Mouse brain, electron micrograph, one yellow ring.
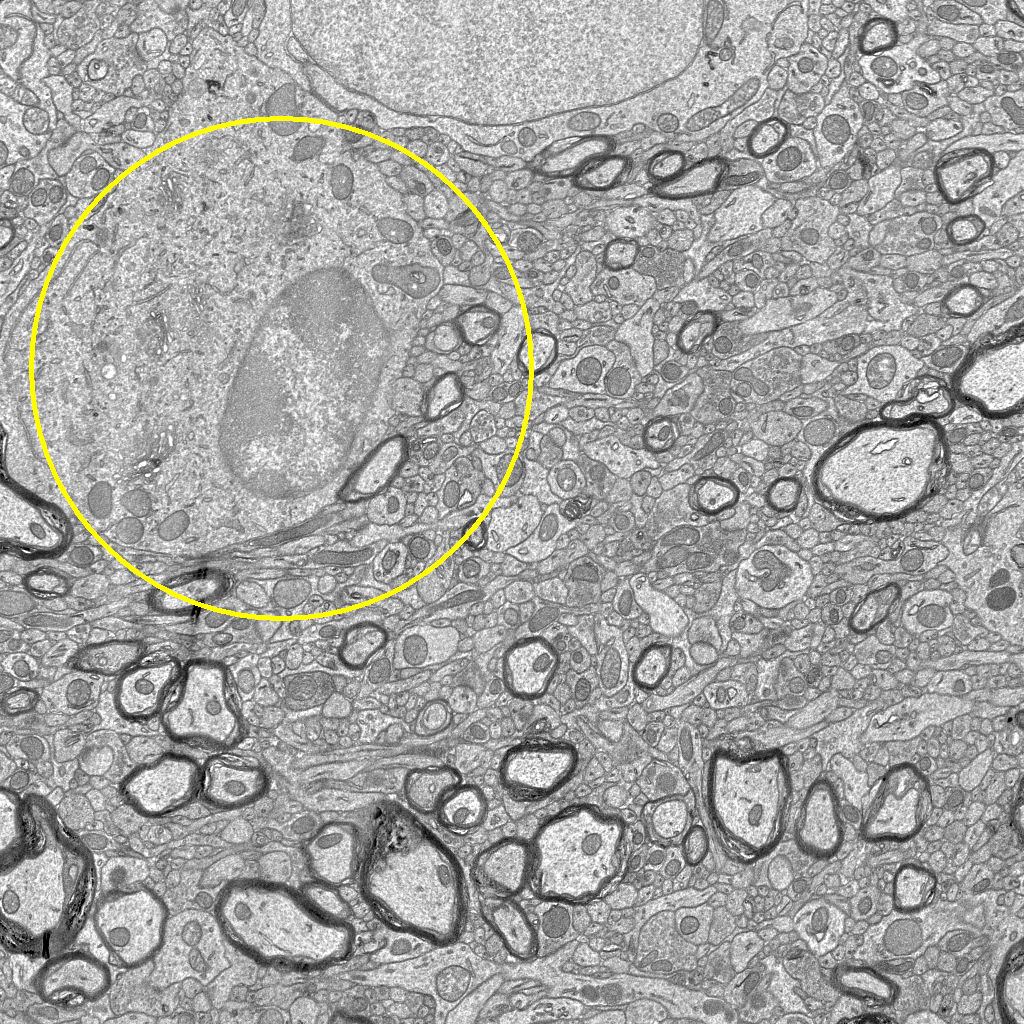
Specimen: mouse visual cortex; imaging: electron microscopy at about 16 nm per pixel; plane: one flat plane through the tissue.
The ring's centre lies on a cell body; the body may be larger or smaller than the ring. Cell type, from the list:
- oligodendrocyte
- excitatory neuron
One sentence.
The yellow ring's centre lies on an oligodendrocyte.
